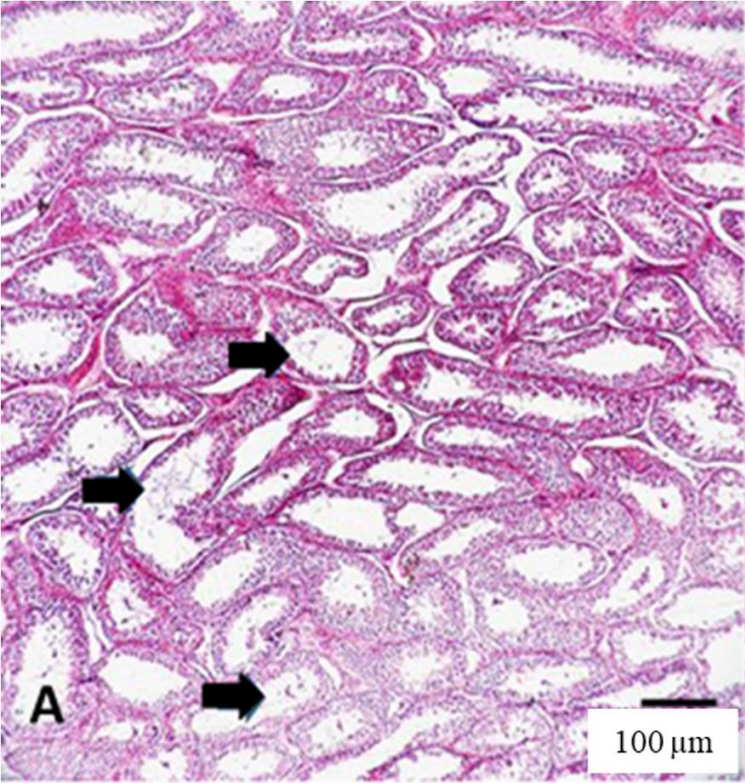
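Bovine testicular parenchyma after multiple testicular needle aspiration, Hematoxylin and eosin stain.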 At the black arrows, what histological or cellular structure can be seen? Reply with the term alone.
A: Intraluminal spermatozoa.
